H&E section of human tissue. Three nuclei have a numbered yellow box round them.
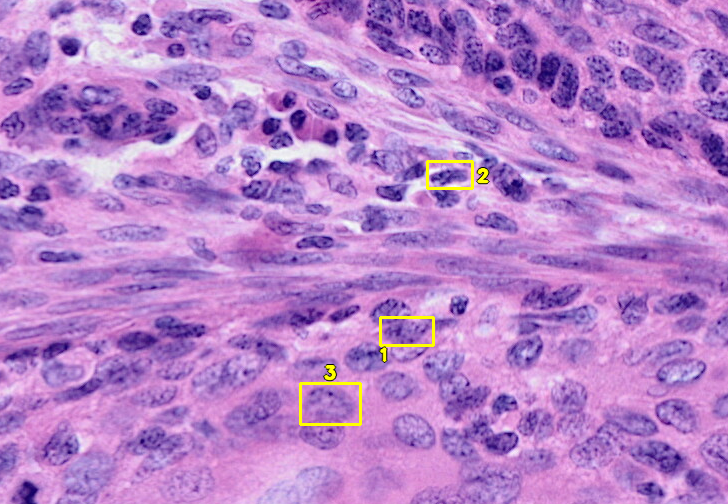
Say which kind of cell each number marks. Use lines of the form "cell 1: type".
cell 1: squamous carcinoma cell
cell 2: lymphocyte
cell 3: squamous carcinoma cell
